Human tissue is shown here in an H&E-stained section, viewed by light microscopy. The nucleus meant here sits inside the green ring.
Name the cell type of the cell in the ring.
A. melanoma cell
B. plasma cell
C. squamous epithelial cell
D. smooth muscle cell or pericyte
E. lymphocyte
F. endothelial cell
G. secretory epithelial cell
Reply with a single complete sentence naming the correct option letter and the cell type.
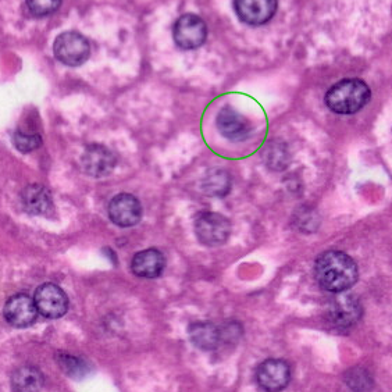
Since the cell in the ring is an endothelial cell, option F is correct.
